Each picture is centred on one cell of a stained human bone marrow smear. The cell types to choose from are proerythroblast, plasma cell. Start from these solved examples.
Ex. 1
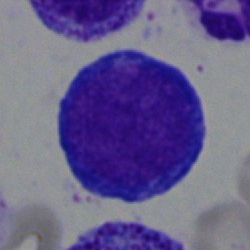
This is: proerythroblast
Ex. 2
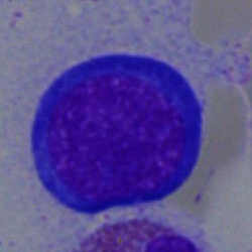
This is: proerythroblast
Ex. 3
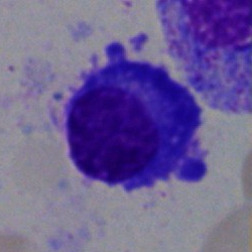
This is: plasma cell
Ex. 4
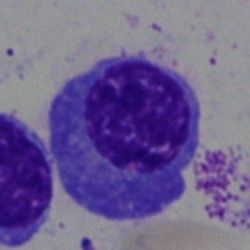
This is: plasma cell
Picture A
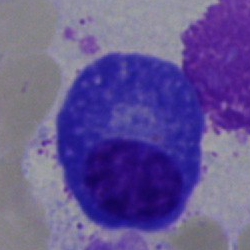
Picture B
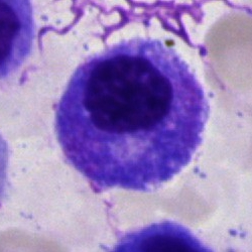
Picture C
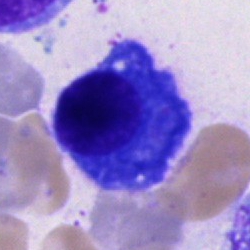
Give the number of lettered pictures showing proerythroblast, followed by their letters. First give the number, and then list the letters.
0, none of them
